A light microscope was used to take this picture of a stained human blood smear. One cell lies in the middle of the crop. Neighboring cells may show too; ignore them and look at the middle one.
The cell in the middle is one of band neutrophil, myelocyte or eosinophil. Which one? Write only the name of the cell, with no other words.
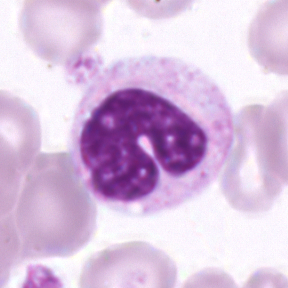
band neutrophil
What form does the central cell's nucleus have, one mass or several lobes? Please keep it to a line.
See how the nucleus sits as one compact round, oval or kidney-shaped mass.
